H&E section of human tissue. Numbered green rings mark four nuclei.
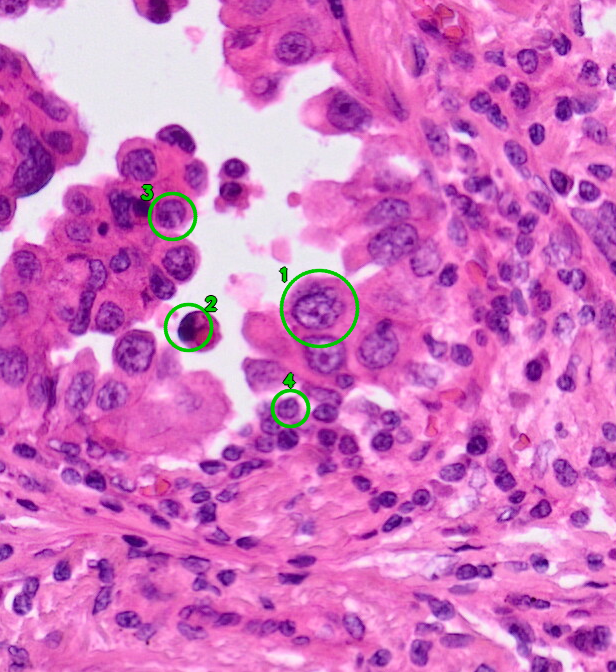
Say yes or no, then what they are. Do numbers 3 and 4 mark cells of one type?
No, cell 3 is a carcinoma cell and cell 4 is a lymphocyte.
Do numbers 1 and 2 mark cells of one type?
Yes, both are carcinoma cells.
